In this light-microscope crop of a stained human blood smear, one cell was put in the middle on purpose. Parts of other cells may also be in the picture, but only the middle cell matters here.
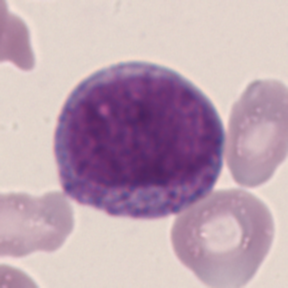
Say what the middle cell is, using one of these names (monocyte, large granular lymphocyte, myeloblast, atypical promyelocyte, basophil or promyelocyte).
promyelocyte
